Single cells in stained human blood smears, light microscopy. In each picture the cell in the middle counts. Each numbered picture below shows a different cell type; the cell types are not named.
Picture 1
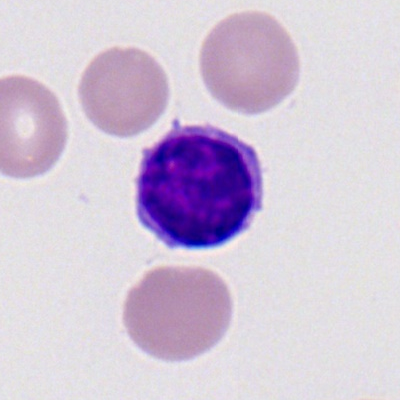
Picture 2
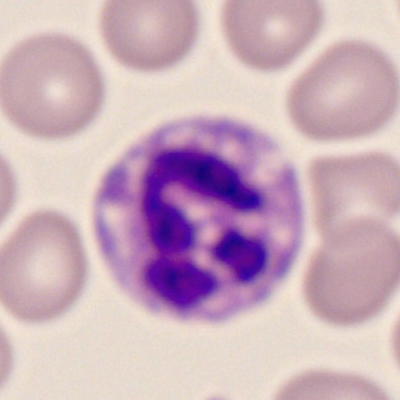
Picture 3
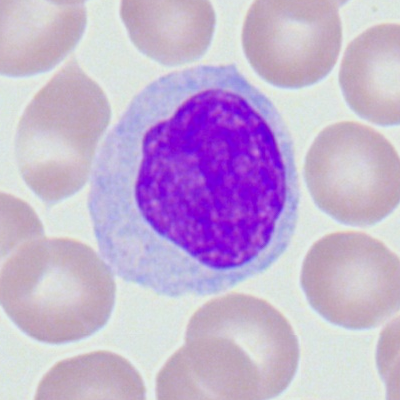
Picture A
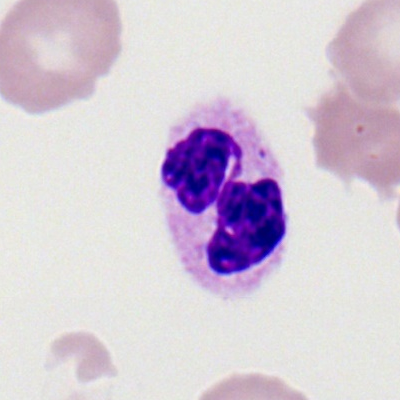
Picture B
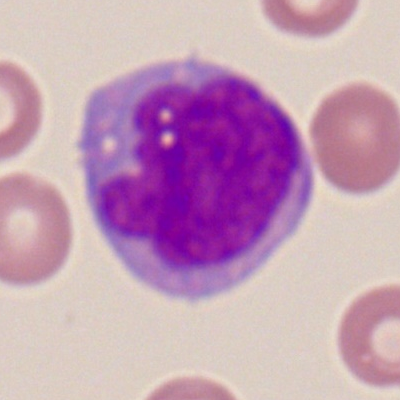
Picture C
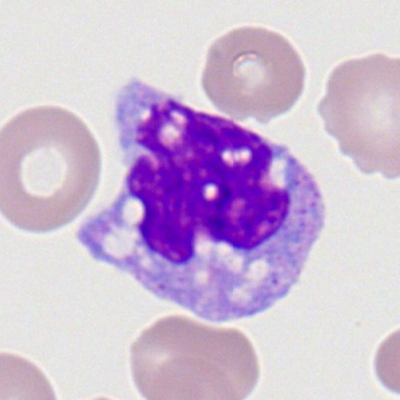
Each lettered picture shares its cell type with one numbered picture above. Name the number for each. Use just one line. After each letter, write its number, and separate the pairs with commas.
A 2, B 3, C 3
